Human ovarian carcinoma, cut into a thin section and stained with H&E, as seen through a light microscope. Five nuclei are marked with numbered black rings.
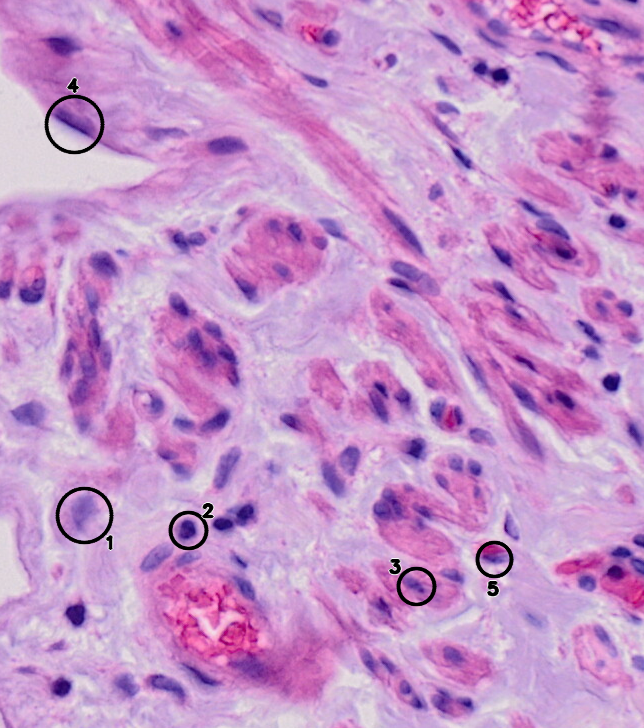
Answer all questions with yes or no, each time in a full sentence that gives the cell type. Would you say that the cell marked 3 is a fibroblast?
No, cell 3 should be classed as a smooth muscle cell, not as a fibroblast.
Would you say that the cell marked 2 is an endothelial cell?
No, the cell labelled number 2 is not an endothelial cell; it is a lymphocyte.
